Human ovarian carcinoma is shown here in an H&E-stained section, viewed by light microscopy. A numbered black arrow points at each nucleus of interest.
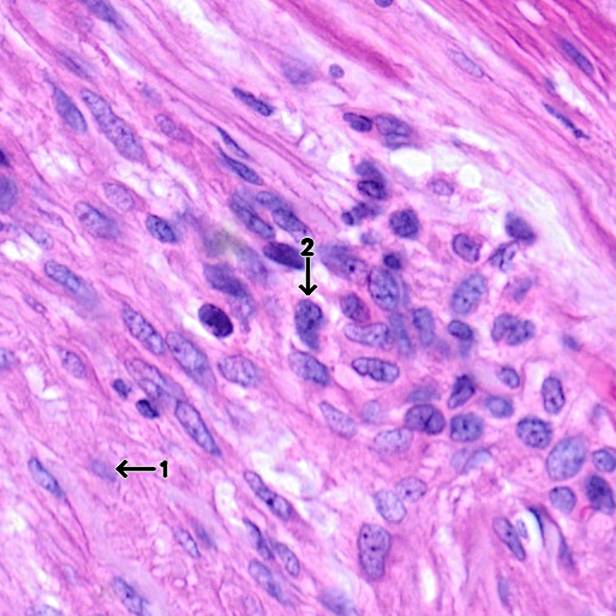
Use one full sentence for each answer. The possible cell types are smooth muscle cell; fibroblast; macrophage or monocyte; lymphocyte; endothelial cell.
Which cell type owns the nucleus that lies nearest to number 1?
Closest to number 1 lies the nucleus of a fibroblast.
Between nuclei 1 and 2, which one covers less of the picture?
Number 1 is smaller, since number 2 takes up about 2.5 times as much area.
